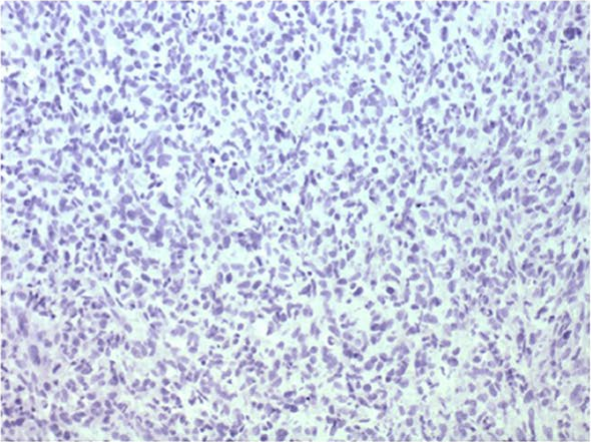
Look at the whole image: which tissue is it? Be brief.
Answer: tumors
